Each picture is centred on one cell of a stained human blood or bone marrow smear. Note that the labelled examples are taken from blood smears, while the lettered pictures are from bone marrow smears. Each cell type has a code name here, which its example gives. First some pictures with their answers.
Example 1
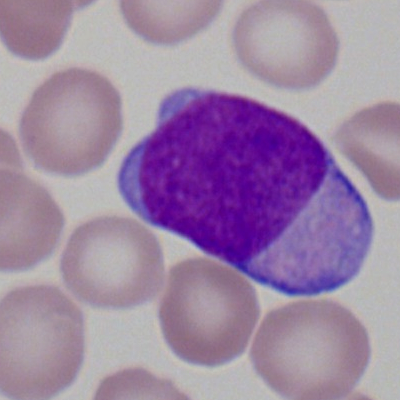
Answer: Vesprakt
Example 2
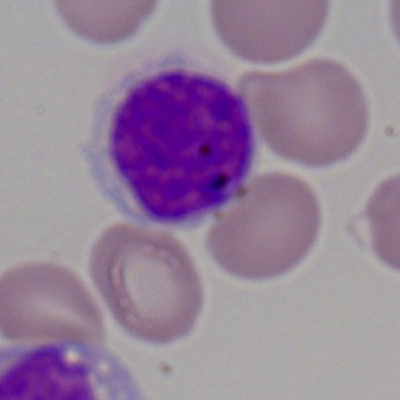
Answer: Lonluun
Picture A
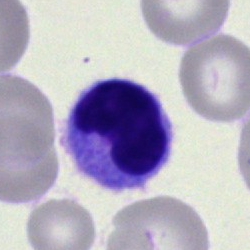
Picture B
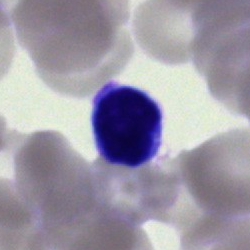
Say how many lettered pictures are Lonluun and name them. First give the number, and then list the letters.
Count: 2 (A, B)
